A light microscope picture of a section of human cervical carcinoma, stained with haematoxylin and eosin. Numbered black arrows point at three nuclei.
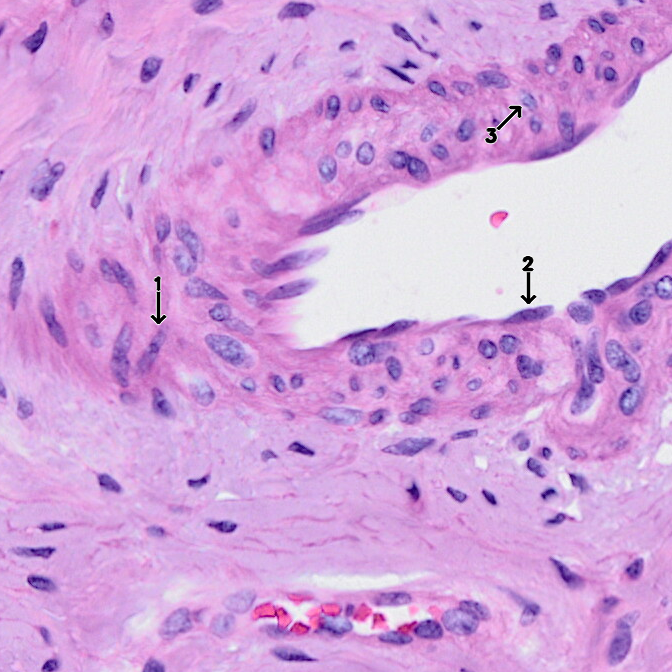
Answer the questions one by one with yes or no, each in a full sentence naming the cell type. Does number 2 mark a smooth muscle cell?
No, the cell tagged 2 is an endothelial cell, not a smooth muscle cell.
